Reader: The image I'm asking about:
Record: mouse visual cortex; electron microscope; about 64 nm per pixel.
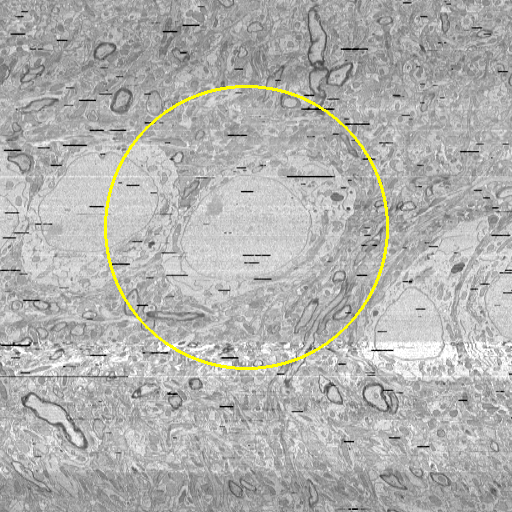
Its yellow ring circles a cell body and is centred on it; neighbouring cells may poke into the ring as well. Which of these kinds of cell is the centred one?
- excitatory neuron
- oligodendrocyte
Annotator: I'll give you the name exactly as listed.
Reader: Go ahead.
excitatory neuron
